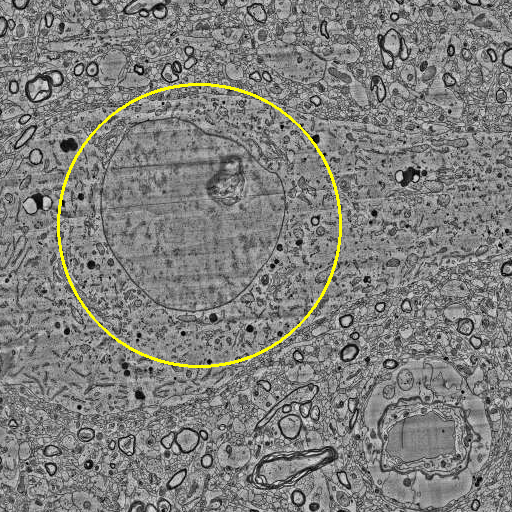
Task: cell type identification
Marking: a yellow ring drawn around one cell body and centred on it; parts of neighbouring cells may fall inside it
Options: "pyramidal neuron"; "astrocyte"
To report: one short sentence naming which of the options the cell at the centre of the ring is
The cell at the centre of the ring is a pyramidal neuron.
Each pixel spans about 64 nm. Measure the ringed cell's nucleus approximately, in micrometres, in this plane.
Approximately 12 micrometers across in this plane.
